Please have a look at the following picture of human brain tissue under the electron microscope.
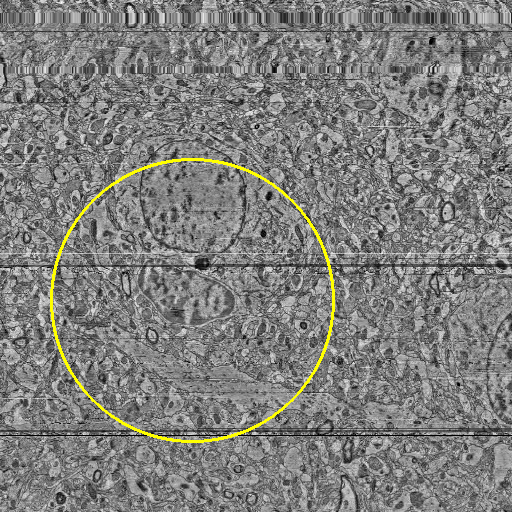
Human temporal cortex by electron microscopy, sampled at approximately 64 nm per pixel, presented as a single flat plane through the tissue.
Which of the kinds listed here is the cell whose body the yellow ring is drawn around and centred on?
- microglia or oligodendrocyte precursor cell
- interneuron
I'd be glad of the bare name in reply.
microglia or oligodendrocyte precursor cell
